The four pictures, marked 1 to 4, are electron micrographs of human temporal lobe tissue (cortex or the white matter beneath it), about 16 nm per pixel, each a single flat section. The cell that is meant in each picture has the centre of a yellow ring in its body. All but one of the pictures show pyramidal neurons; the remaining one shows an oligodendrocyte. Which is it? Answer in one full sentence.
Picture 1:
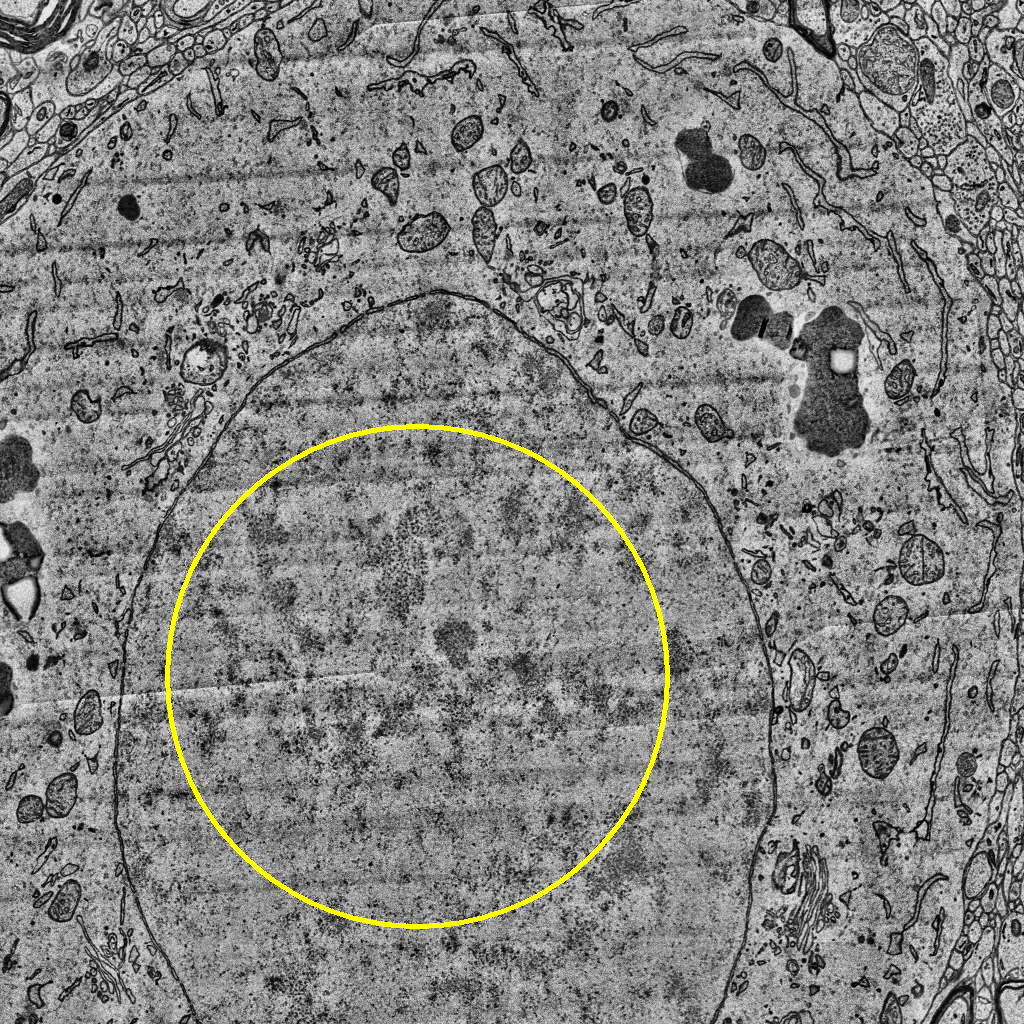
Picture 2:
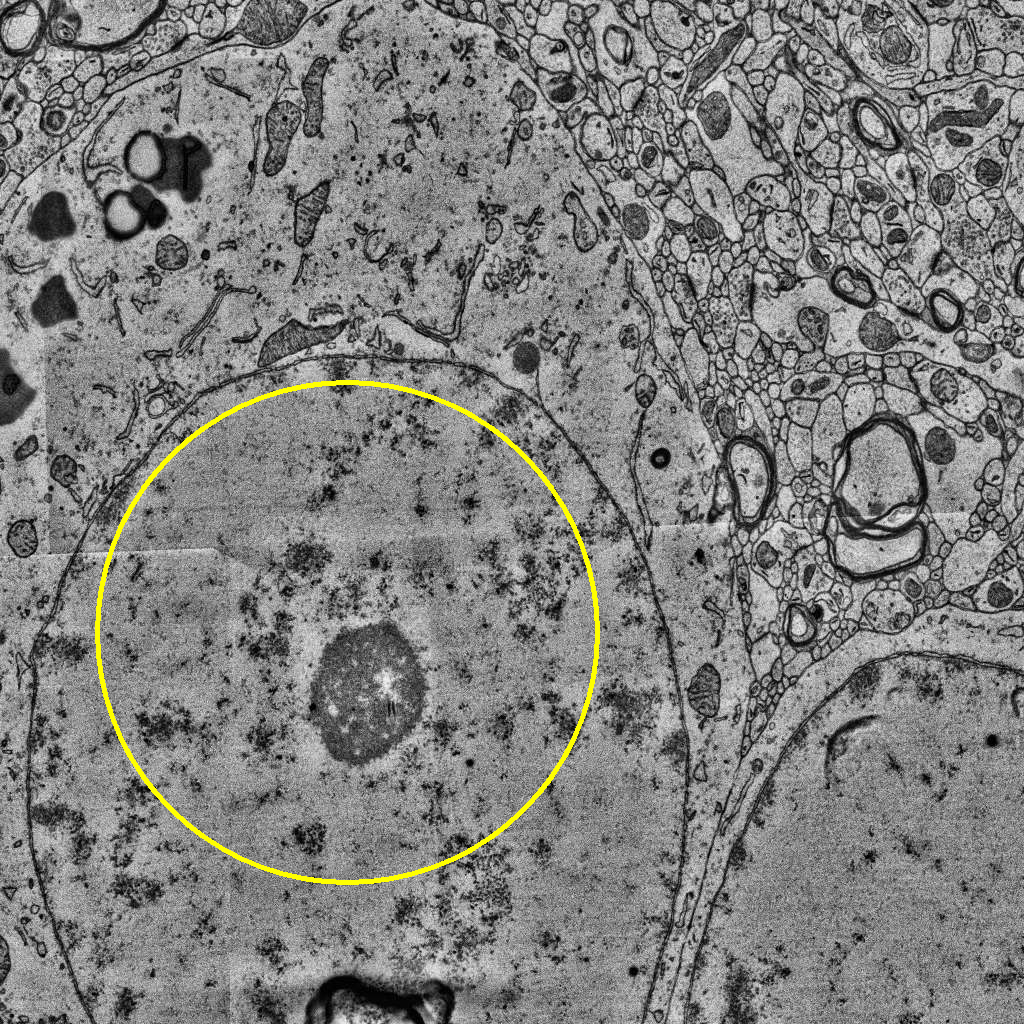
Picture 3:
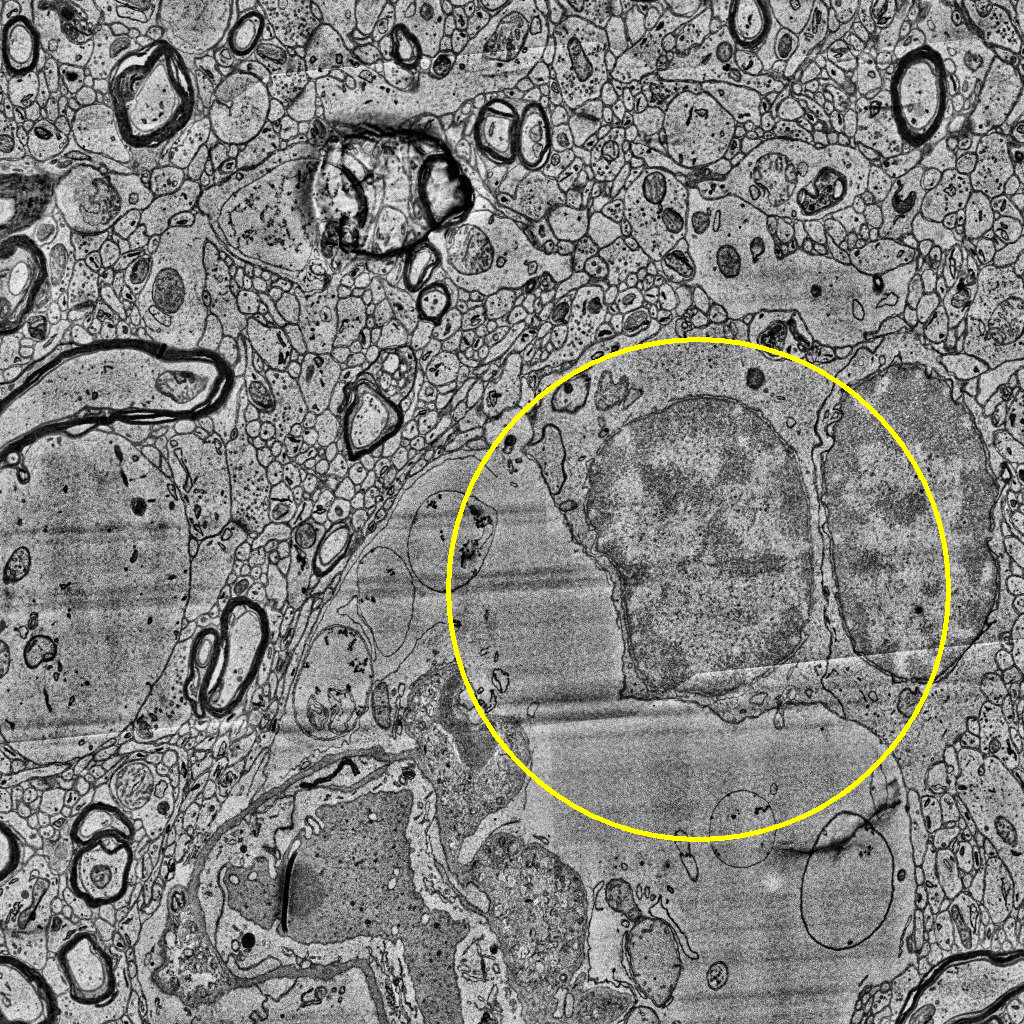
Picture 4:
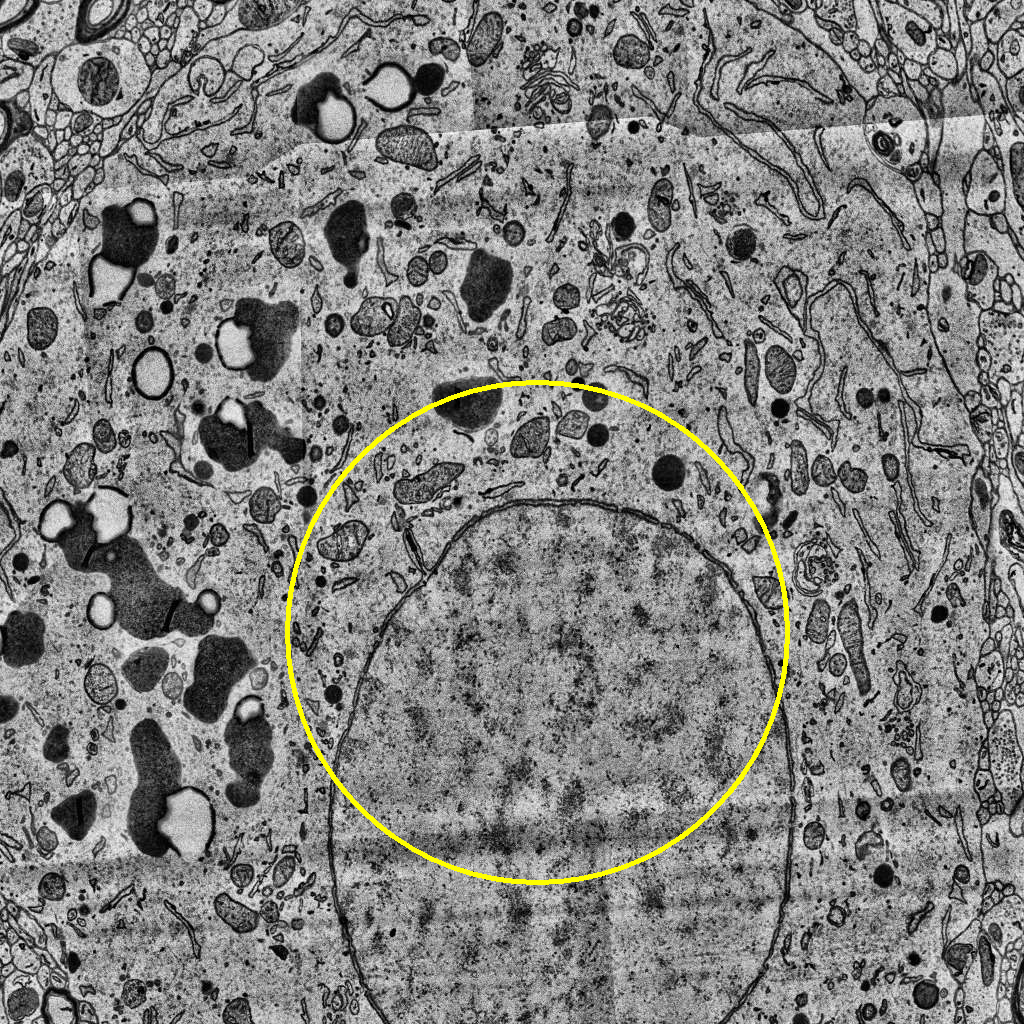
It is picture 3 that shows the oligodendrocyte.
